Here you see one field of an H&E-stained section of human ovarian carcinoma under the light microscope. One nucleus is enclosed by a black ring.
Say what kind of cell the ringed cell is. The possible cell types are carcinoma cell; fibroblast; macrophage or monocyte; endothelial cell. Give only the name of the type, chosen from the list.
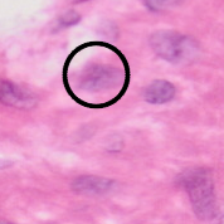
fibroblast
